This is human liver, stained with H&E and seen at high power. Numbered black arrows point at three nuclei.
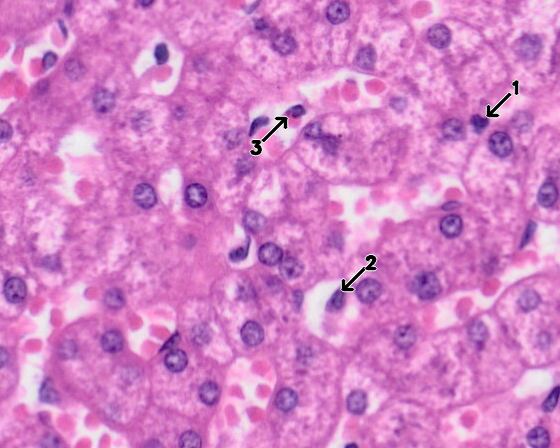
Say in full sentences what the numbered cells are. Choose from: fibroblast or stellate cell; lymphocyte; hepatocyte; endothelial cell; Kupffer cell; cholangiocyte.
Cell 1 is a fibroblast or stellate cell, cell 2 is a Kupffer cell and cell 3 is a lymphocyte.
